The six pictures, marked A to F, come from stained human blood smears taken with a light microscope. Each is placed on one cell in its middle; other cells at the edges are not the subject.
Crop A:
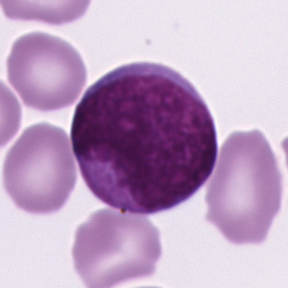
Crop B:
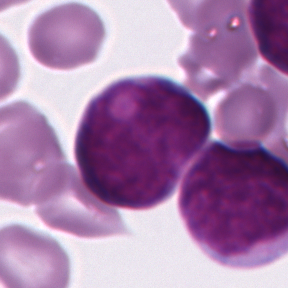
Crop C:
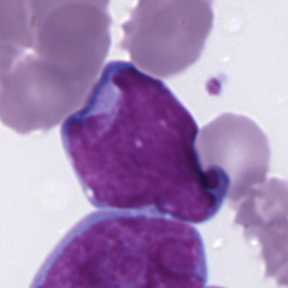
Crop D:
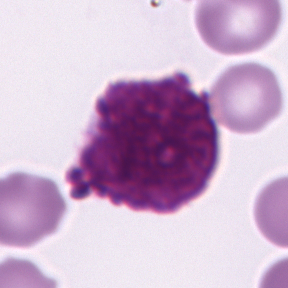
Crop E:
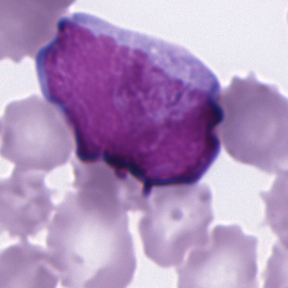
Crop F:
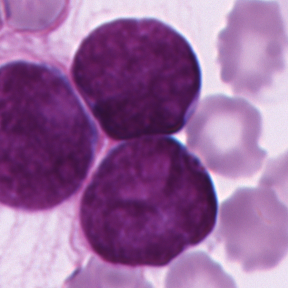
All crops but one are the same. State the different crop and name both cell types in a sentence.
Crop D does not match the others; it shows a smudge cell, and they show myeloblasts.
